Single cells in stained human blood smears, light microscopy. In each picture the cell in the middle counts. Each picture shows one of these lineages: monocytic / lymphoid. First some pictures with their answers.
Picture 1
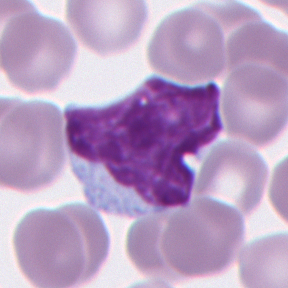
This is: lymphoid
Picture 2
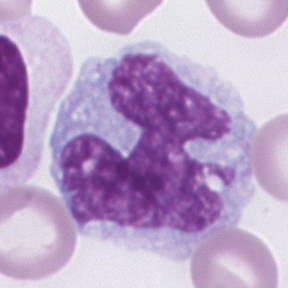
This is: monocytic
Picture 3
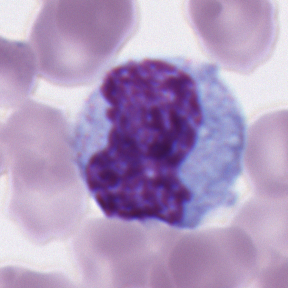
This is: monocytic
